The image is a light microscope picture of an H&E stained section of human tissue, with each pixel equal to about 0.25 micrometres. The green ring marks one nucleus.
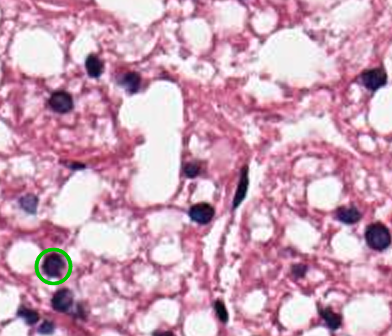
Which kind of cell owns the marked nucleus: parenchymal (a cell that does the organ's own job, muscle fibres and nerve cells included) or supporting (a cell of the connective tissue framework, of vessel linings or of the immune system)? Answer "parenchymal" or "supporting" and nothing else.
parenchymal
